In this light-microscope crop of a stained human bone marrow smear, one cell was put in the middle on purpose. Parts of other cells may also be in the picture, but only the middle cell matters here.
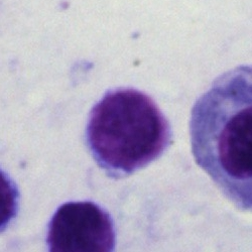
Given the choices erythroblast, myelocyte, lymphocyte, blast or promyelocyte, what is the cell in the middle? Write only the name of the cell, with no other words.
lymphocyte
